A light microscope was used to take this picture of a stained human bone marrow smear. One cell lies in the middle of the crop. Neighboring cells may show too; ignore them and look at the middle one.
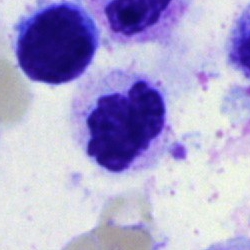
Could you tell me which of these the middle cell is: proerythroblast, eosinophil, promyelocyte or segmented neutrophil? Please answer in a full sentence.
The crop's centre is taken up by a segmented neutrophil.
